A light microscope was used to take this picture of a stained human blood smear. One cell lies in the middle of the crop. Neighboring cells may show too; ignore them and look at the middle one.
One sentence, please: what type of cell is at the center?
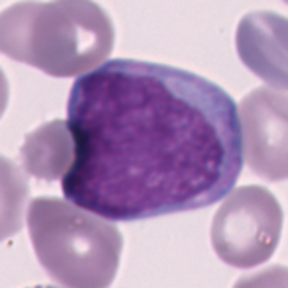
The cell of interest, in the center, is a promyelocyte.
